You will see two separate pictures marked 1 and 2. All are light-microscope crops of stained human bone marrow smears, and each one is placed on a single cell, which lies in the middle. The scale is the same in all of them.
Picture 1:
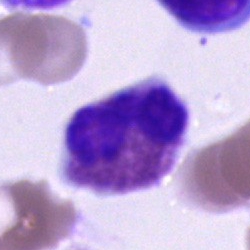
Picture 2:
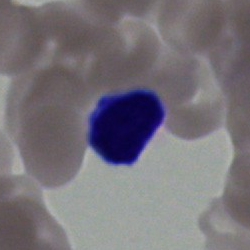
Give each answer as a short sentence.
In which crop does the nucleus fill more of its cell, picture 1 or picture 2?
The nucleus fills more of the cell in picture 2 than in picture 1.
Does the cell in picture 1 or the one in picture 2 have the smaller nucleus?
Smaller is the nucleus in picture 2, and the other is about 1.5 times as large in area.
